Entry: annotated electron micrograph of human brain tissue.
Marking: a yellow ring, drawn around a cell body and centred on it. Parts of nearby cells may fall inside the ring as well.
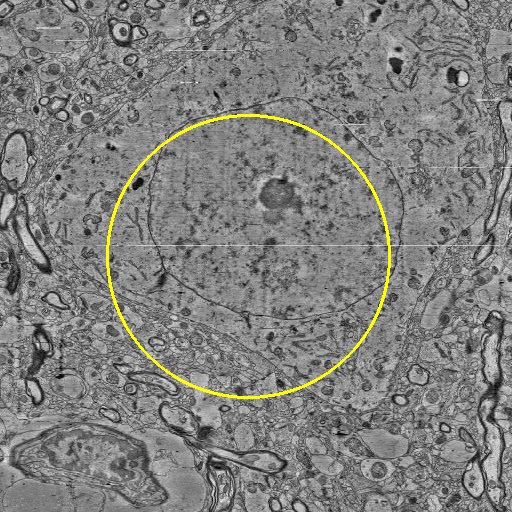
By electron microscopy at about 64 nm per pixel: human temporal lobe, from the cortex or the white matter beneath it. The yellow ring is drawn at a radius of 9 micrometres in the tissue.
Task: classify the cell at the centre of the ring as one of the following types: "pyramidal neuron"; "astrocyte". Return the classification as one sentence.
The marked cell is classified as a pyramidal neuron.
